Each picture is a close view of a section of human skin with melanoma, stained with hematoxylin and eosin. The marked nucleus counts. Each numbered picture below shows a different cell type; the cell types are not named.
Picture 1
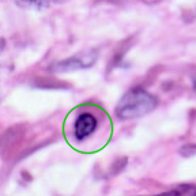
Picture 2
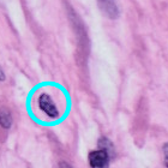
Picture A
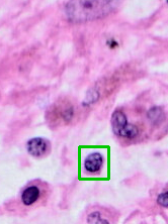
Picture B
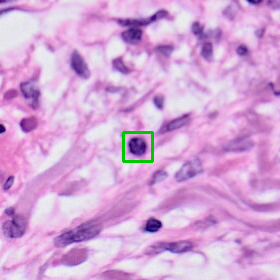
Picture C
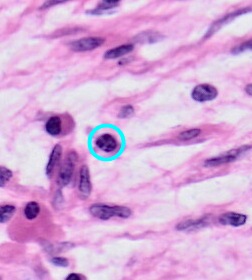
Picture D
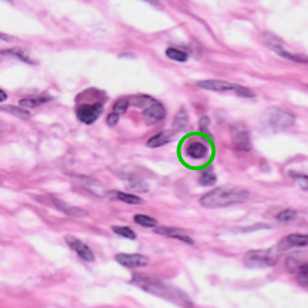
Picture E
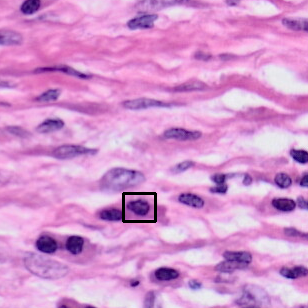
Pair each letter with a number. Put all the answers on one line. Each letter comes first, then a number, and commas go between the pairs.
A 2, B 1, C 1, D 1, E 1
